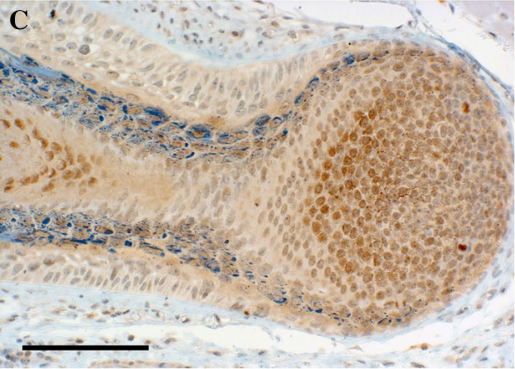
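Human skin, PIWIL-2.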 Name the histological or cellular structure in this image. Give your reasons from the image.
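Hair follicle. An elongated epithelial structure ends in a rounded bulb.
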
